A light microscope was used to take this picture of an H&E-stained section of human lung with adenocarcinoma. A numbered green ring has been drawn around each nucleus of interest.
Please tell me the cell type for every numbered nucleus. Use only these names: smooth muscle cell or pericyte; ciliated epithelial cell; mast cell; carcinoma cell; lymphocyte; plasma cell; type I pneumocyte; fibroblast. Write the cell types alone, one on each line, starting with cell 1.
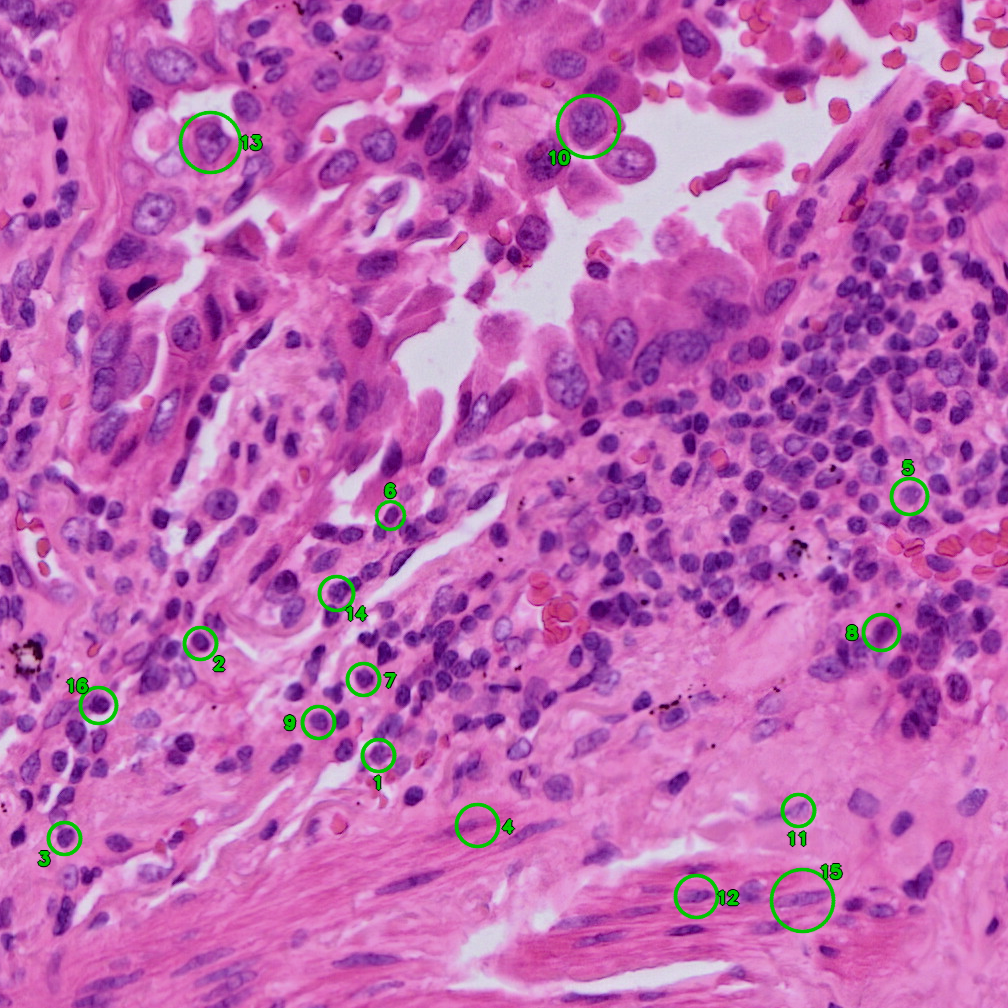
lymphocyte
lymphocyte
lymphocyte
smooth muscle cell or pericyte
lymphocyte
lymphocyte
lymphocyte
plasma cell
lymphocyte
carcinoma cell
fibroblast
smooth muscle cell or pericyte
carcinoma cell
lymphocyte
smooth muscle cell or pericyte
lymphocyte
